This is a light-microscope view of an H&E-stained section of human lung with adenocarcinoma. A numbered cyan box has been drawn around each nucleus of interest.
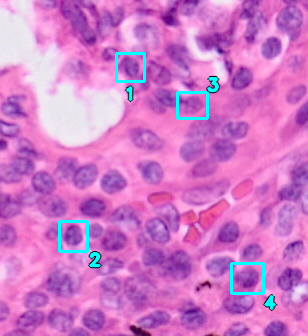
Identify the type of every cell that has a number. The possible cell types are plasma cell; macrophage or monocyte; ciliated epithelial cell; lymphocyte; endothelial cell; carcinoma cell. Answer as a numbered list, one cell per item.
1. ciliated epithelial cell
2. lymphocyte
3. ciliated epithelial cell
4. plasma cell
